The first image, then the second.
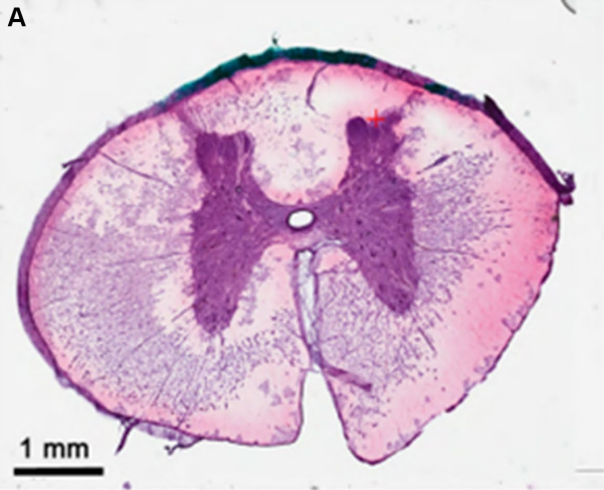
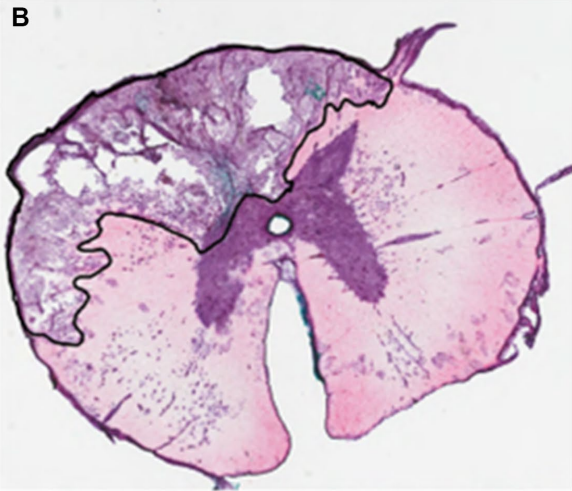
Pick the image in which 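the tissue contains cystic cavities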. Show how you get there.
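The second image. Second image: a large loose, fragmented region with empty white holes occupies the upper left part of the section.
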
